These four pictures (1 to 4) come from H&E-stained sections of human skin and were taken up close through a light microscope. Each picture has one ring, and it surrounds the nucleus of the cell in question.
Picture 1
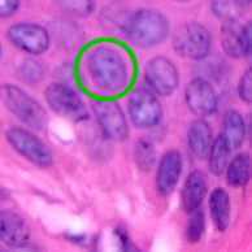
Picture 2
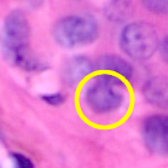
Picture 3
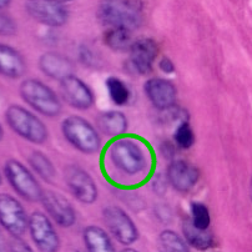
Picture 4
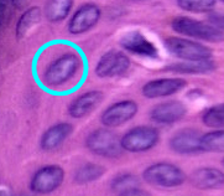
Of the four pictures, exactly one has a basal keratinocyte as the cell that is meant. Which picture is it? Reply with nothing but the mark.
2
